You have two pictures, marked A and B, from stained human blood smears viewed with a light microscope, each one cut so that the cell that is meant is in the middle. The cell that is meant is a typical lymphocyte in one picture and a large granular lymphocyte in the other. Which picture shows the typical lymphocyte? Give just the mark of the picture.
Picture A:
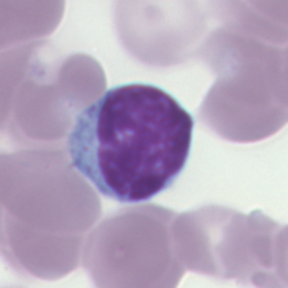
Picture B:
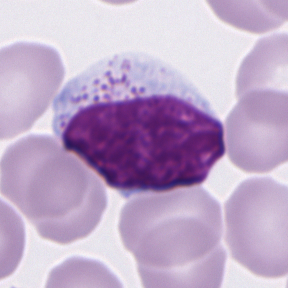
A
